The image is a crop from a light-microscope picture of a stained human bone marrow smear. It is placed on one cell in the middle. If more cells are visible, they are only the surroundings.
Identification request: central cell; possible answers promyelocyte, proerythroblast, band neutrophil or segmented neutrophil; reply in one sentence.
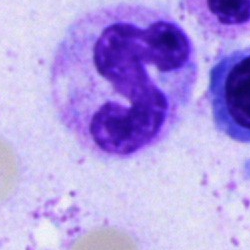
Centrally within this crop lies a segmented neutrophil.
